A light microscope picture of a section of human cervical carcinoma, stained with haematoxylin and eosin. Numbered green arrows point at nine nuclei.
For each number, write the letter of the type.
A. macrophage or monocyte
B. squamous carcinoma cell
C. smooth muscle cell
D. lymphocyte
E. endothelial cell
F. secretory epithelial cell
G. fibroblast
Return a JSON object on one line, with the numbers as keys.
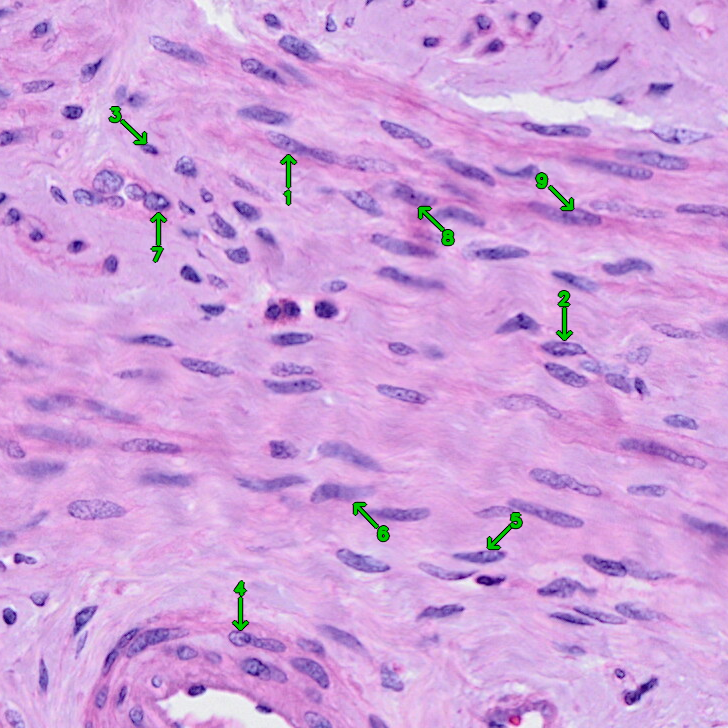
{"1": "C", "2": "G", "3": "C", "4": "C", "5": "G", "6": "G", "7": "E", "8": "C", "9": "C"}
